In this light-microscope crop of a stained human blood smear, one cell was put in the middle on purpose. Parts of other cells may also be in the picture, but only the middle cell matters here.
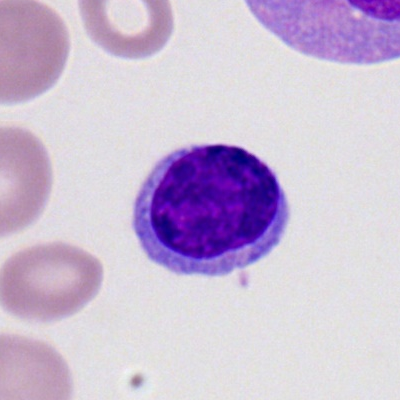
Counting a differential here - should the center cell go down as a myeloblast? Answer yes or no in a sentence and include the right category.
No, rather than a myeloblast, the central cell is a lymphocyte.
